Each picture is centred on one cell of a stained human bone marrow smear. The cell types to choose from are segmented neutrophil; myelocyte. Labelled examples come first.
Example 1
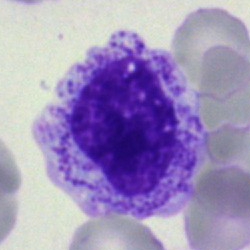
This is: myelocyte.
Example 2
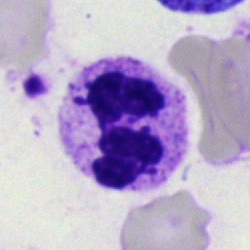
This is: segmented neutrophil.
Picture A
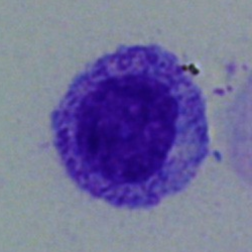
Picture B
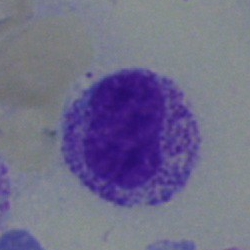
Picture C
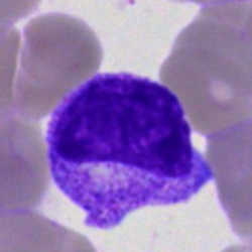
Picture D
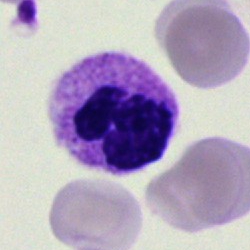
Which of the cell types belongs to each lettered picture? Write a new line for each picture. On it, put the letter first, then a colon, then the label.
A: myelocyte.
B: myelocyte.
C: myelocyte.
D: segmented neutrophil.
